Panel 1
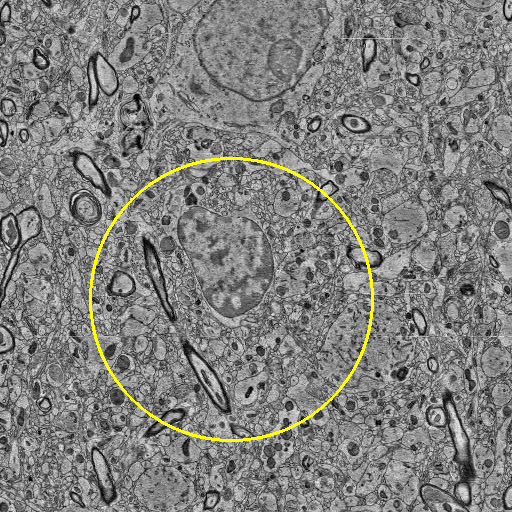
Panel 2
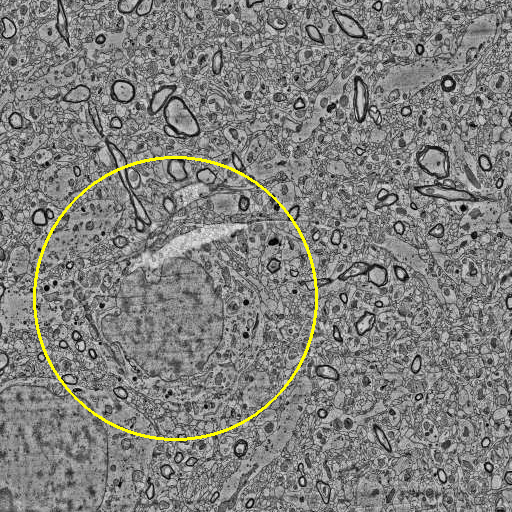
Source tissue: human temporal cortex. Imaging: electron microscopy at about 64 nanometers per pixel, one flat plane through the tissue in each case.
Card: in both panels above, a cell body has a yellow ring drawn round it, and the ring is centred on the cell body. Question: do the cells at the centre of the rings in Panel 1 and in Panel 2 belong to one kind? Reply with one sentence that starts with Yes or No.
No, the cells centred in the rings of Panel 1 and Panel 2 are two kinds of cell.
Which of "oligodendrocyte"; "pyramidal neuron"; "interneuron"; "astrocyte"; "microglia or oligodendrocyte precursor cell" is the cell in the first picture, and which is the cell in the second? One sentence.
The two differ: the first cell is a microglial cell or oligodendrocyte precursor cell and the second is an interneuron.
